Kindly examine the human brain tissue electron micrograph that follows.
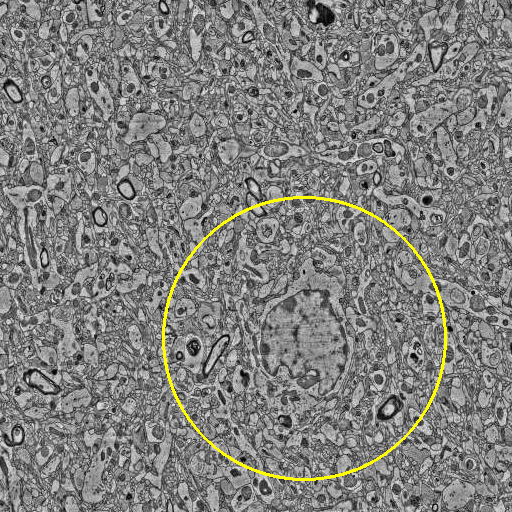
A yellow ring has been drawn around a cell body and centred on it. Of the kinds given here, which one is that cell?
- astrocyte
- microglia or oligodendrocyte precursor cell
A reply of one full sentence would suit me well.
The micrograph's ringed cell, the one at the ring's centre, is a microglial cell or oligodendrocyte precursor cell.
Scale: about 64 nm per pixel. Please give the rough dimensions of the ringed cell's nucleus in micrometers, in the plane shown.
The nucleus measures about 7 by 6 micrometres in this plane.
